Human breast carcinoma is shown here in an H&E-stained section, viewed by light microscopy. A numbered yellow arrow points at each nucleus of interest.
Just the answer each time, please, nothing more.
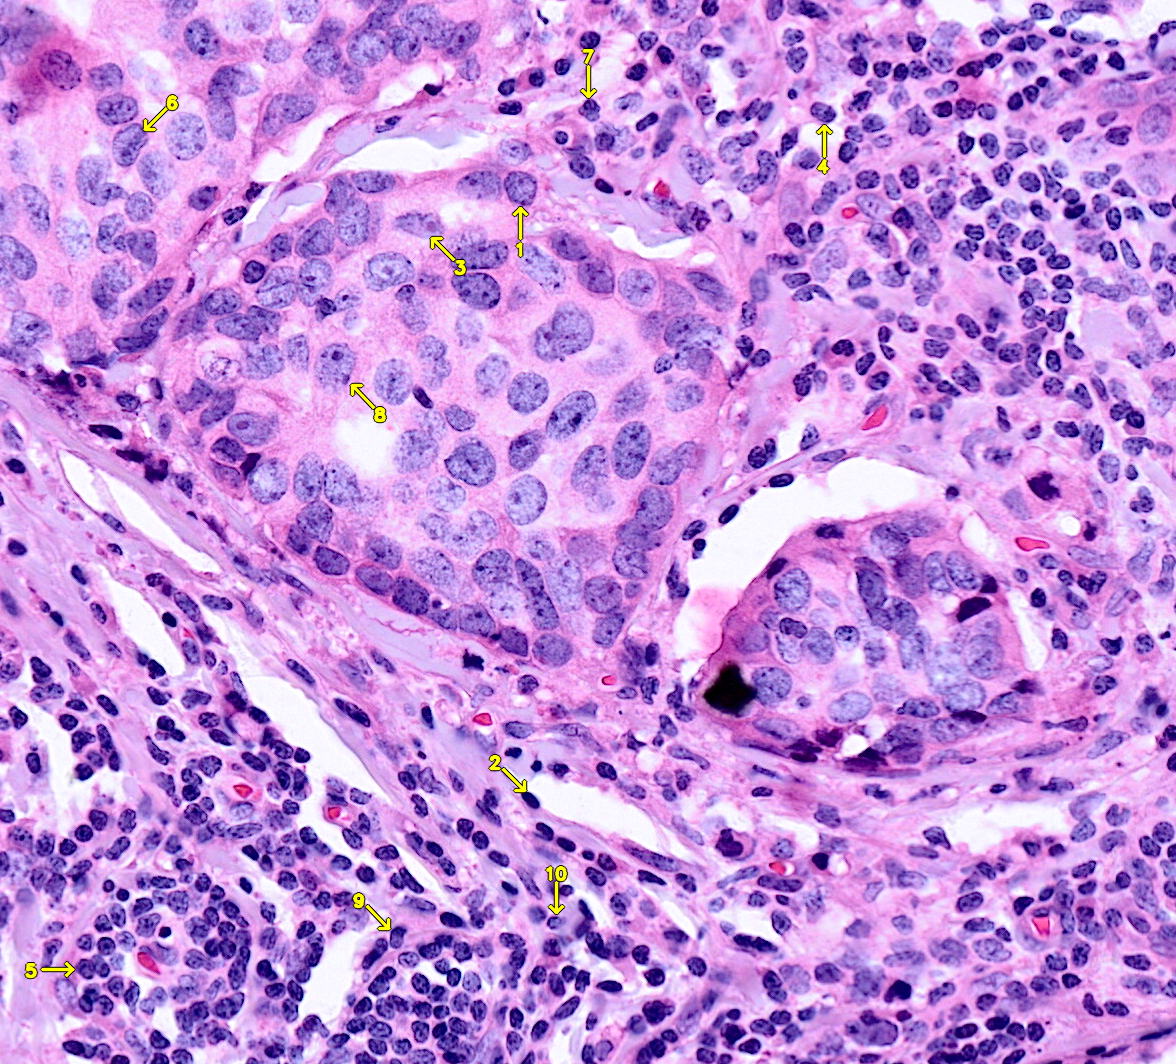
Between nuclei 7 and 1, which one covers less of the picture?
7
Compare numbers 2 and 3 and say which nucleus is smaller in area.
2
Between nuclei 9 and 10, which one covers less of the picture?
10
